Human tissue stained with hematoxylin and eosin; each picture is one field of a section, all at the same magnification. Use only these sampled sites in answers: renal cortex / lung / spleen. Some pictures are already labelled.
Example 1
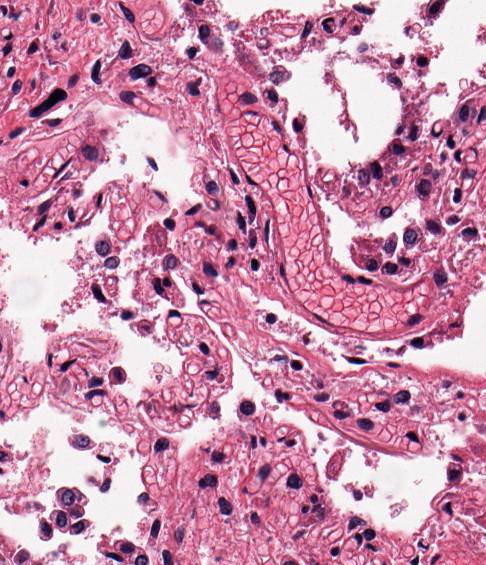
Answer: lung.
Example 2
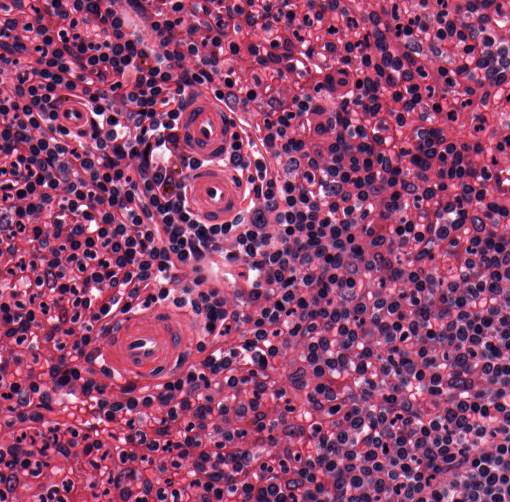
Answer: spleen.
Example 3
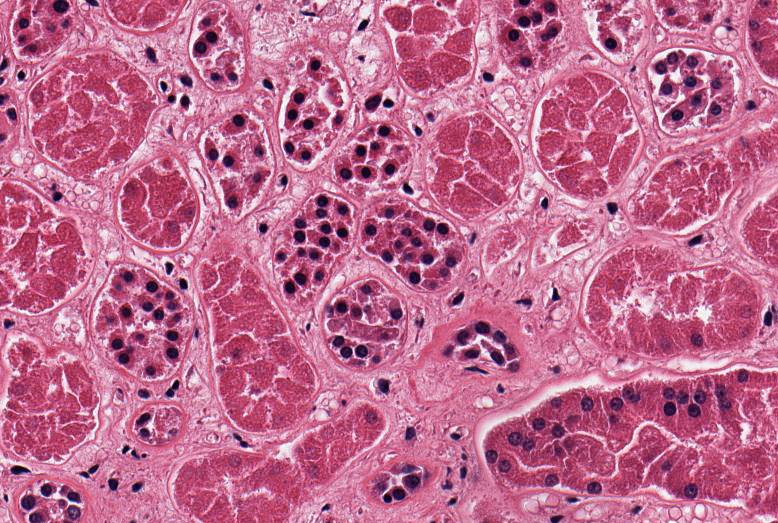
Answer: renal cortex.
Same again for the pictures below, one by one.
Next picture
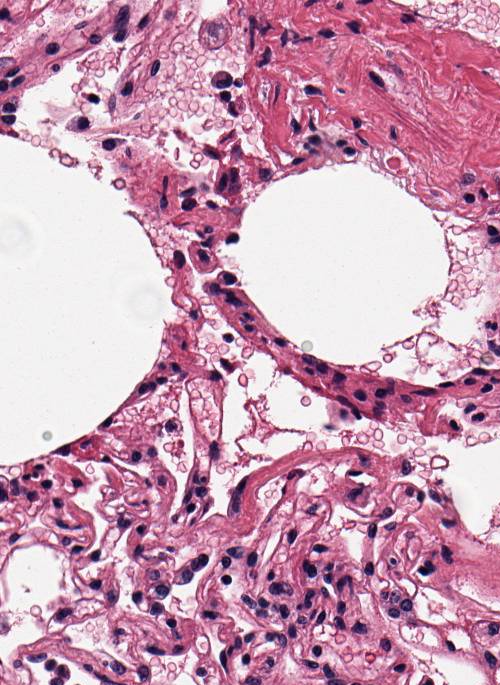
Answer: lung.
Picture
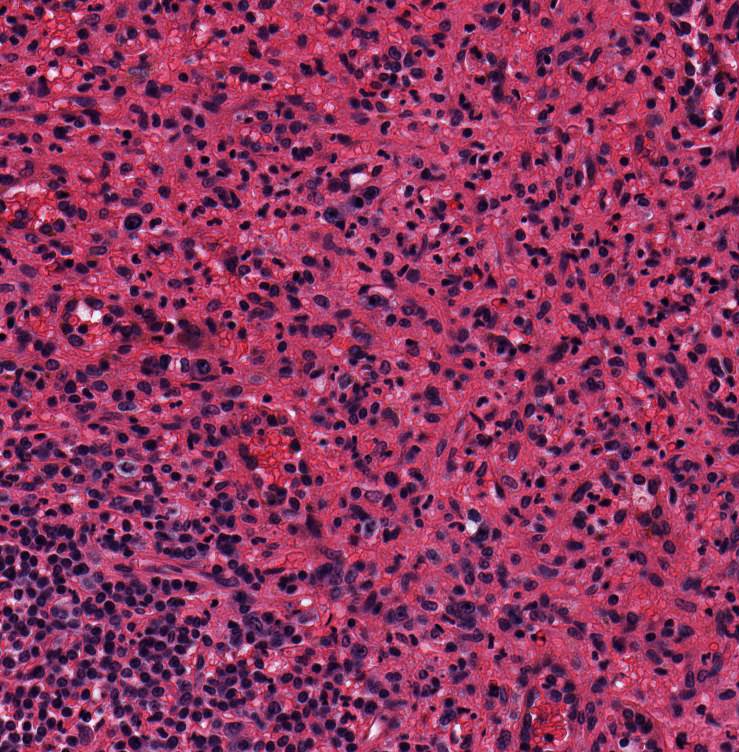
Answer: spleen.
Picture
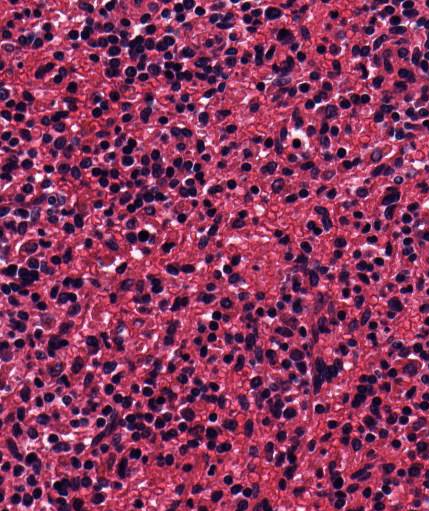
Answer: spleen.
